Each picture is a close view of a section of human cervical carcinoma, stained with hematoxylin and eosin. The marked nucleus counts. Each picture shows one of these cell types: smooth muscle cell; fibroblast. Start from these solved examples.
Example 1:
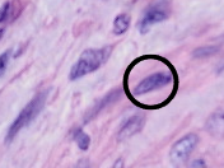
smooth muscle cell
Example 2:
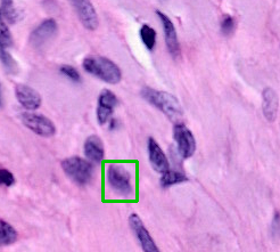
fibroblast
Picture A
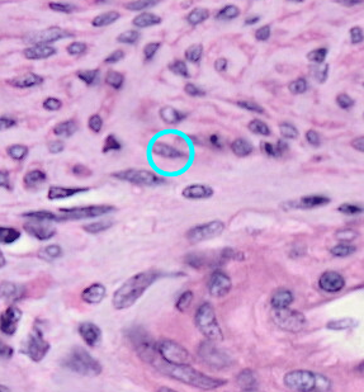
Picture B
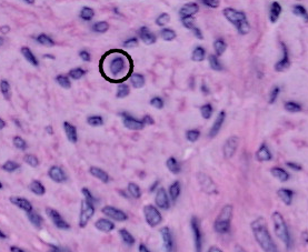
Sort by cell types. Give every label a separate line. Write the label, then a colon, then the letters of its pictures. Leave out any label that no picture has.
smooth muscle cell: A, B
